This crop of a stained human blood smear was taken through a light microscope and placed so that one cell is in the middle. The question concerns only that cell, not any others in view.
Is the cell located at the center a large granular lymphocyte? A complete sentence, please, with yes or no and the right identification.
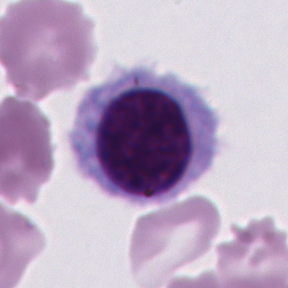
No, it isn't a large granular lymphocyte; what sits in the middle is a hairy cell.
